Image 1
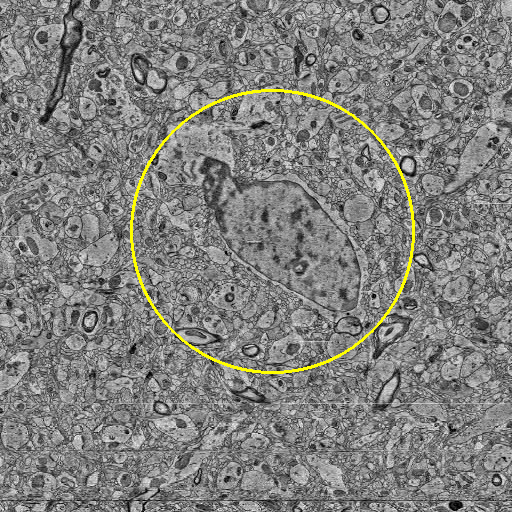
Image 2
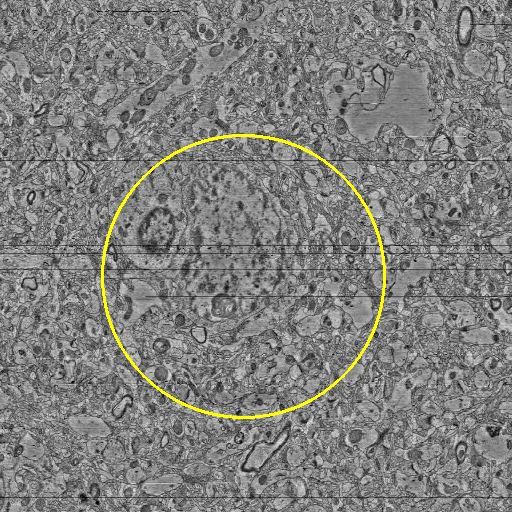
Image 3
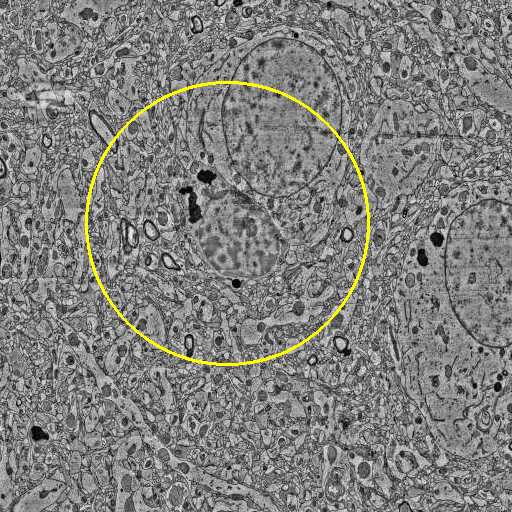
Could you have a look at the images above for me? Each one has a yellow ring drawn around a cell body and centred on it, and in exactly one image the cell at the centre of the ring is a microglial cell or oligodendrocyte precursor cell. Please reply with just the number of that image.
1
